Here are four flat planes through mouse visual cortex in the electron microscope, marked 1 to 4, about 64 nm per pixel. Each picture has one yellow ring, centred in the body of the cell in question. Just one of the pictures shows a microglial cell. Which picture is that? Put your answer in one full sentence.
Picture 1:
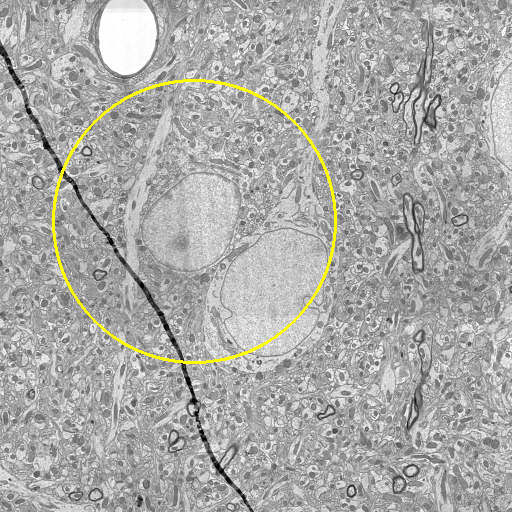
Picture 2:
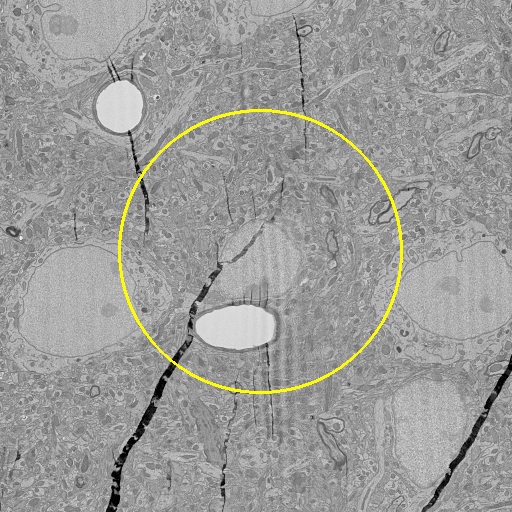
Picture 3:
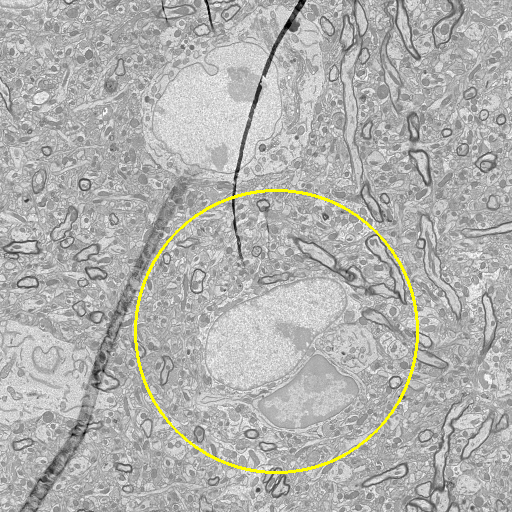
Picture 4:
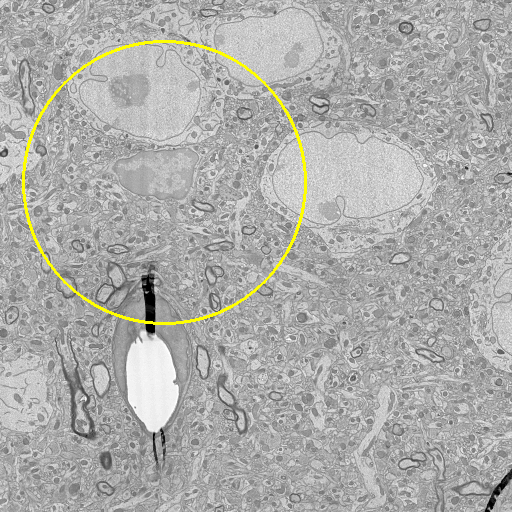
The microglial cell is the one in picture 4.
